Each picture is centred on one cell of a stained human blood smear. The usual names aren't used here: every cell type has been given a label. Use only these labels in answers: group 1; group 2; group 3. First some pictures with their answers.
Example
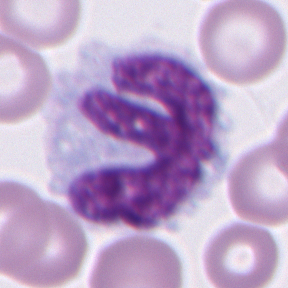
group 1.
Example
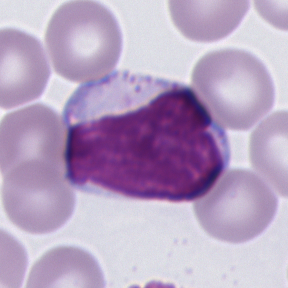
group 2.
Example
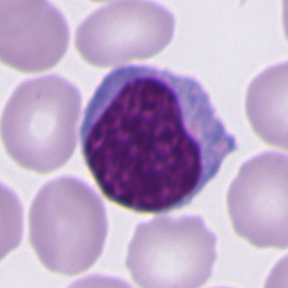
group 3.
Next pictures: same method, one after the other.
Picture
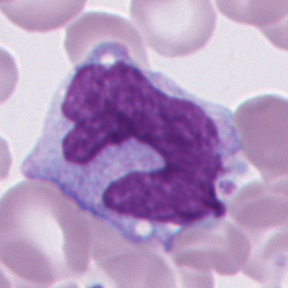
group 1.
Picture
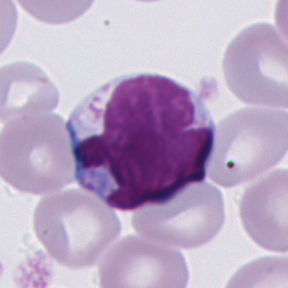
group 2.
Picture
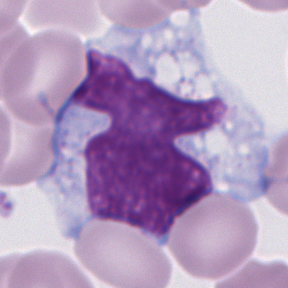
group 1.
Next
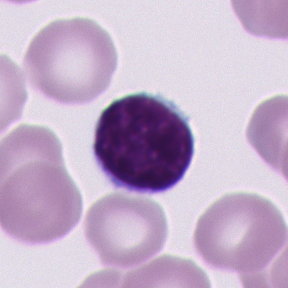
group 3.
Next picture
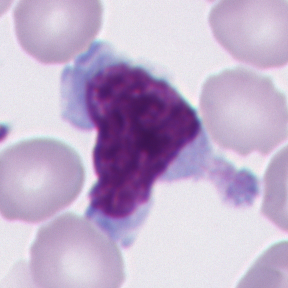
group 3.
